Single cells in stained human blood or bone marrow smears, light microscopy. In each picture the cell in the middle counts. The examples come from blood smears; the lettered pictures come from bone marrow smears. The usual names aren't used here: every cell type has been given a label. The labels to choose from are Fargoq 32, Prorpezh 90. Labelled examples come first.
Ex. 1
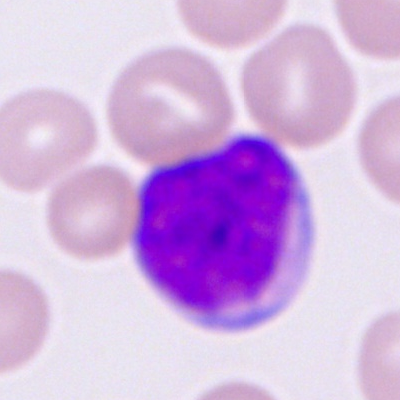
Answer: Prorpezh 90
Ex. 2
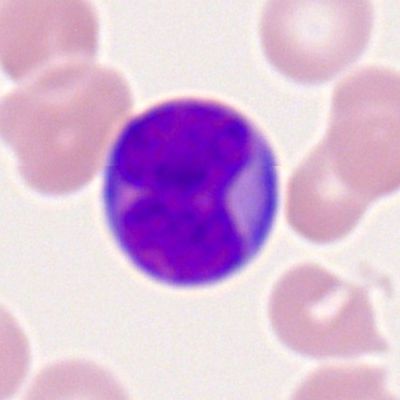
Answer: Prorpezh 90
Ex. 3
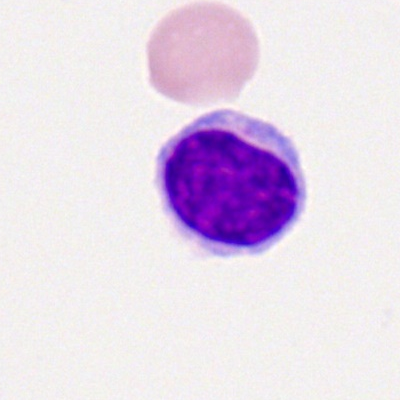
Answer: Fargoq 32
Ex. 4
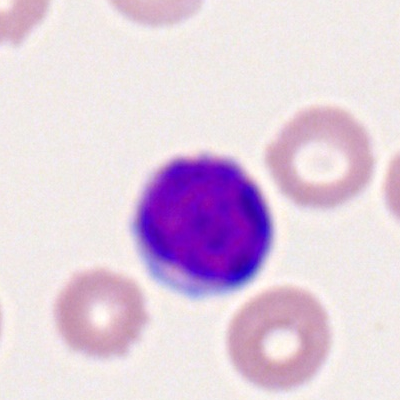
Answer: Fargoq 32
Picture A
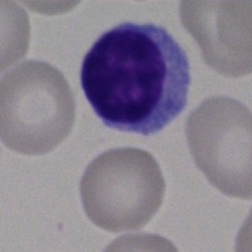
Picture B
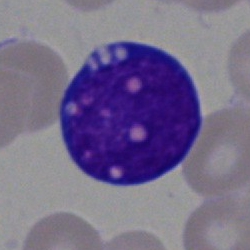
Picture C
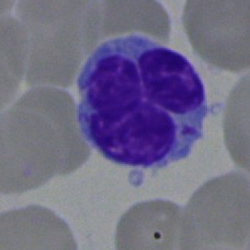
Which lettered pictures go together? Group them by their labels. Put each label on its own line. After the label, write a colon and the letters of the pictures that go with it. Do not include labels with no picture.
Fargoq 32: A, C
Prorpezh 90: B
